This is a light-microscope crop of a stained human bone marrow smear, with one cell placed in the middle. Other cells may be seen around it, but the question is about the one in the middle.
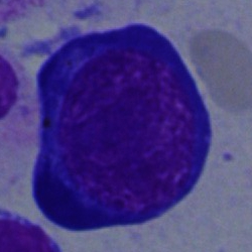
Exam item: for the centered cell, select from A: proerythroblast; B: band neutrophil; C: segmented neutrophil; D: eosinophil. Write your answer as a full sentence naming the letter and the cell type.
The correct option, A, names the middle cell as a proerythroblast.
